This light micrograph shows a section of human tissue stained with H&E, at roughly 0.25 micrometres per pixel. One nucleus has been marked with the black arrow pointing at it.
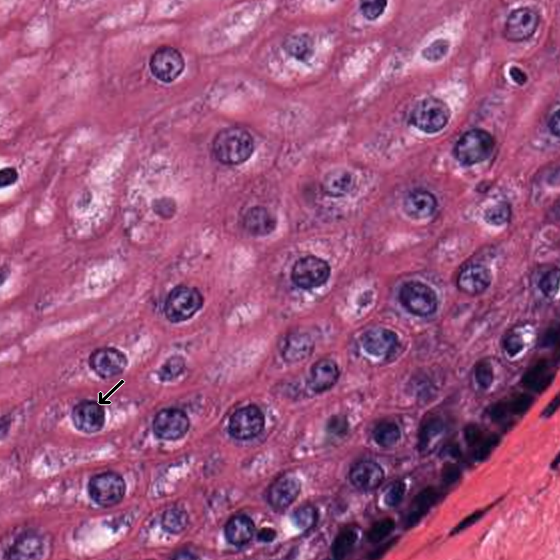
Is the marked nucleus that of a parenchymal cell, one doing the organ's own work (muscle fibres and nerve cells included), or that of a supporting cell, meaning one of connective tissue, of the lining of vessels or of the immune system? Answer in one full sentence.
It is to a squamous epithelial cell, a parenchymal cell, that the marked nucleus belongs.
